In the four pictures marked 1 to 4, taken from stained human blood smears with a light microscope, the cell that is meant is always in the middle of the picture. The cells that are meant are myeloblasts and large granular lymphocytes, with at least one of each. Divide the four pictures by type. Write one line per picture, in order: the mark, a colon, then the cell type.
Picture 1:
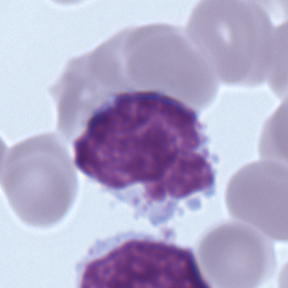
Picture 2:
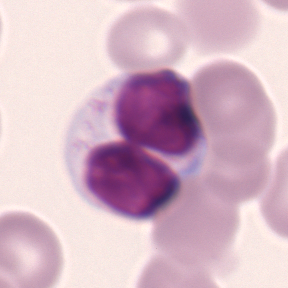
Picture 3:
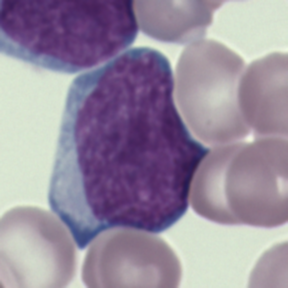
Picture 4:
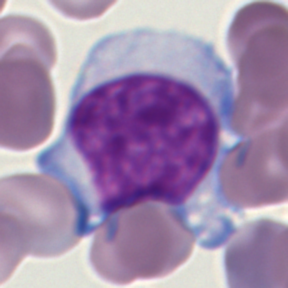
1: large granular lymphocyte
2: large granular lymphocyte
3: myeloblast
4: myeloblast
